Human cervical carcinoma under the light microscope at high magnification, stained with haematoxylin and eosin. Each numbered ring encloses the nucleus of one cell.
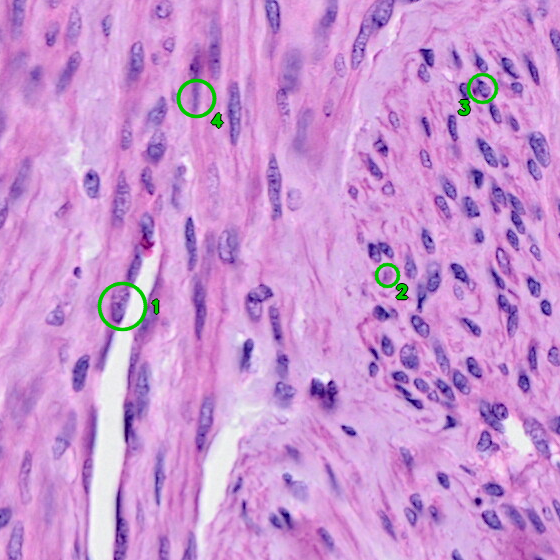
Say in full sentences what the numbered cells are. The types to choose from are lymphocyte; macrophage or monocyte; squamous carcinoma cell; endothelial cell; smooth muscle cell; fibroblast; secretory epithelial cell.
Cell 1 is an endothelial cell. Cells 2, 3 and 4 are smooth muscle cells.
